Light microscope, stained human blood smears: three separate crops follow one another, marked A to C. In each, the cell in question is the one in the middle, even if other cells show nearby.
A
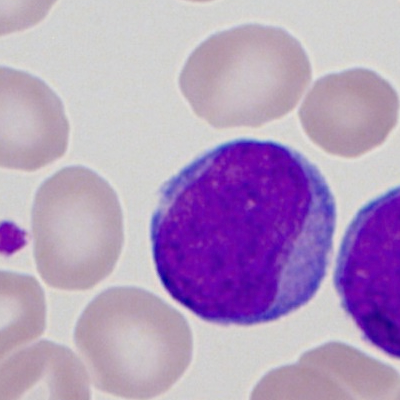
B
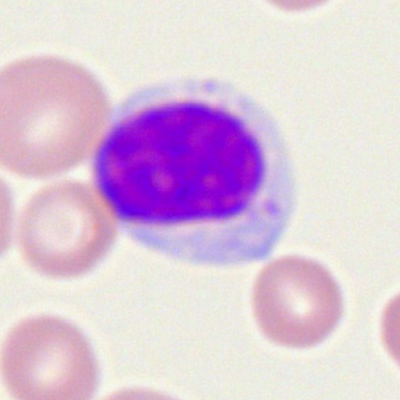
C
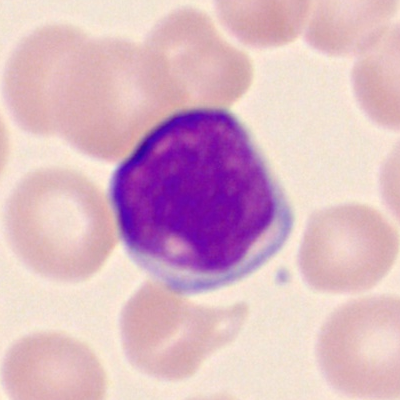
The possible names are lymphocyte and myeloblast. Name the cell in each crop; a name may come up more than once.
A: myeloblast
B: lymphocyte
C: myeloblast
